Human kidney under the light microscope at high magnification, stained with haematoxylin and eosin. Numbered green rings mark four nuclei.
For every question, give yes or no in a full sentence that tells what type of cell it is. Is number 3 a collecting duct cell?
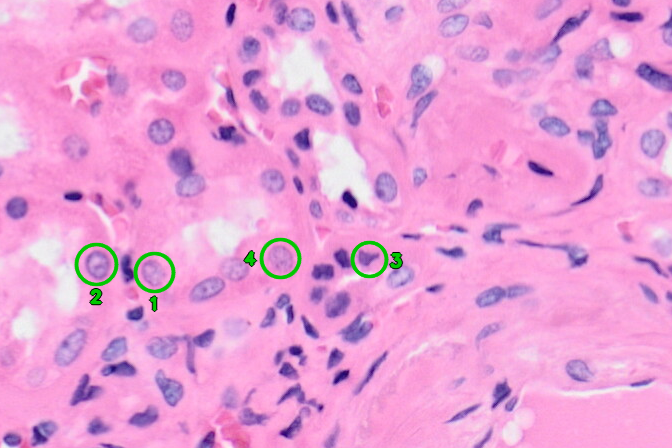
Yes, the cell indicated by number 3 is a collecting duct cell.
